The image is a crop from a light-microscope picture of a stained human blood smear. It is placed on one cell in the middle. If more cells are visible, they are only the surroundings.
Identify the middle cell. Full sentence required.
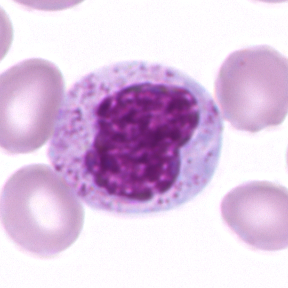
The target cell in the middle of the crop is a metamyelocyte.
